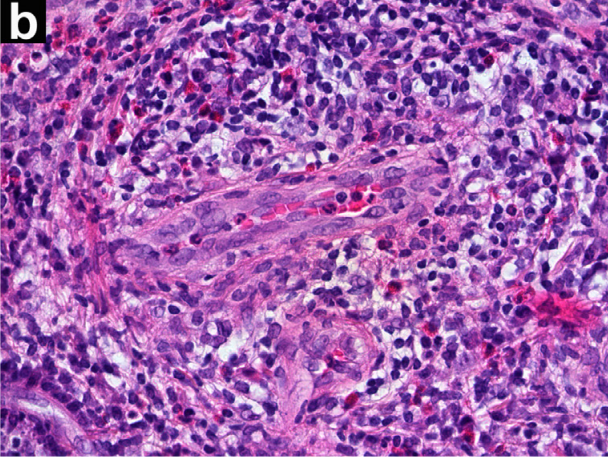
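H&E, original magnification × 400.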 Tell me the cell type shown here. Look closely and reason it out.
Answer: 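A small vessel in the centre containing red blood cells. Its lining cells are large and bulging with ample pale pink cytoplasm.
Plump endothelial cells.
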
